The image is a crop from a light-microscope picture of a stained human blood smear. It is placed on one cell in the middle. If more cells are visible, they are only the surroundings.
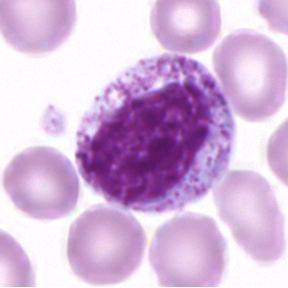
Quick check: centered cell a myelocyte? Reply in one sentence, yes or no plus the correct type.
No, the cell placed at the center is a metamyelocyte rather than a myelocyte.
